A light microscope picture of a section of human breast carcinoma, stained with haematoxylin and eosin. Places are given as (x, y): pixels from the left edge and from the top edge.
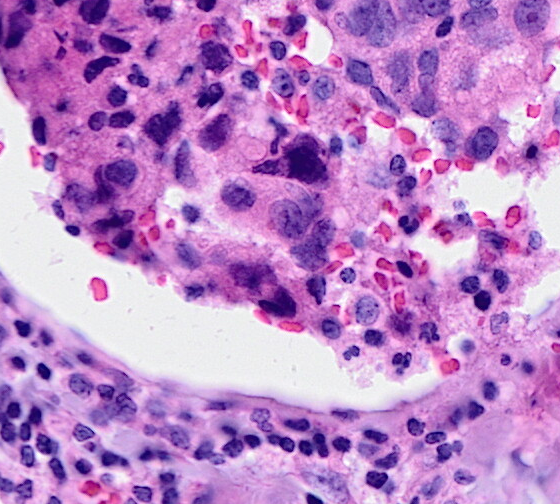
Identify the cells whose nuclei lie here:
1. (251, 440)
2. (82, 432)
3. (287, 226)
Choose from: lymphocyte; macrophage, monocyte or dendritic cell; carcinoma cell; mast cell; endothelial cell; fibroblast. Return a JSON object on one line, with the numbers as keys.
{"1": "lymphocyte", "2": "lymphocyte", "3": "carcinoma cell"}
